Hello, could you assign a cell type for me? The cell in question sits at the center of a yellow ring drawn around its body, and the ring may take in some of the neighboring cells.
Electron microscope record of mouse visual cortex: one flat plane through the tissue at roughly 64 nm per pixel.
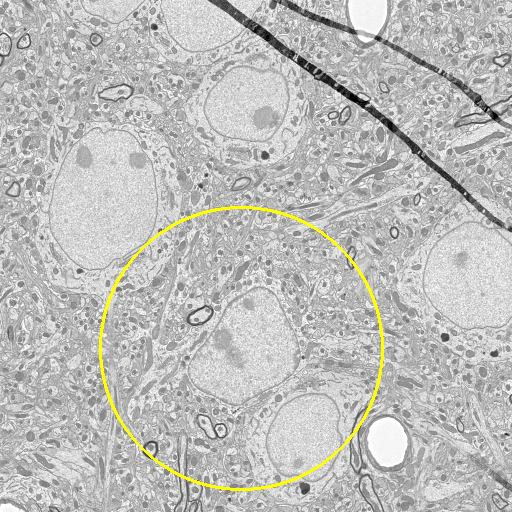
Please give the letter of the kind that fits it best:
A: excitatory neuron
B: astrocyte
B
